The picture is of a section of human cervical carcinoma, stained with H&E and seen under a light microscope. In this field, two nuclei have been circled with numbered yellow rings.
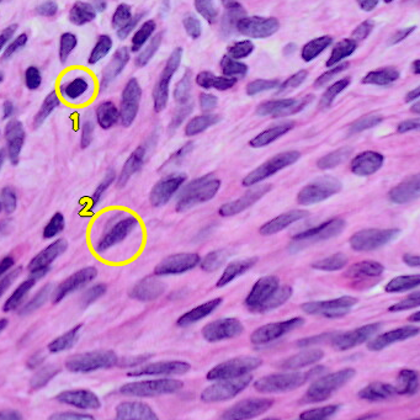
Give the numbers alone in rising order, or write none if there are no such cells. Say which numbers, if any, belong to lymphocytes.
1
